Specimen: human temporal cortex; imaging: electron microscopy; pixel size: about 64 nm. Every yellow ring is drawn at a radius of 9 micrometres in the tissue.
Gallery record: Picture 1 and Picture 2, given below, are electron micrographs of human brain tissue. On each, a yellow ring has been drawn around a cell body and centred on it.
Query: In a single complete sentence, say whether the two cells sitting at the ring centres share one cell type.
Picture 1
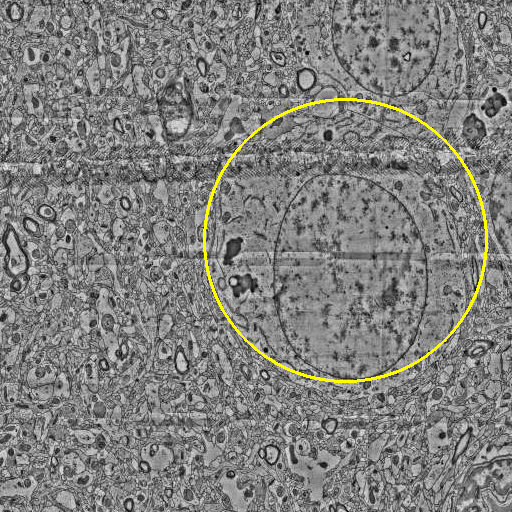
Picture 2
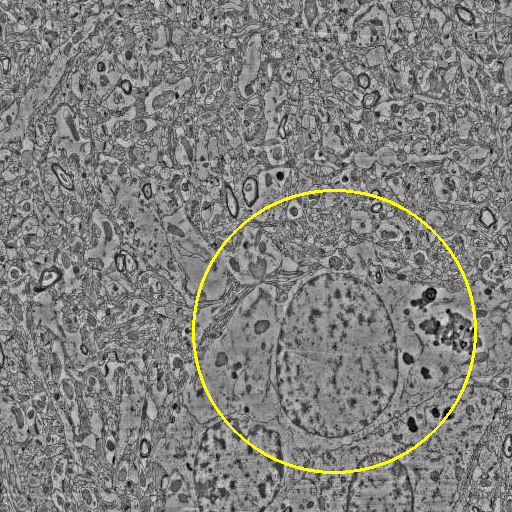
No, in the two pictures the cells at the rings' centres are of two separate types.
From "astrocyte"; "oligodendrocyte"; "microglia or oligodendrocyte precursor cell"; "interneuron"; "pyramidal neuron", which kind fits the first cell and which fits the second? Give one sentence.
The cell marked in the first picture is a pyramidal neuron, and the one marked in the second is an astrocyte.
